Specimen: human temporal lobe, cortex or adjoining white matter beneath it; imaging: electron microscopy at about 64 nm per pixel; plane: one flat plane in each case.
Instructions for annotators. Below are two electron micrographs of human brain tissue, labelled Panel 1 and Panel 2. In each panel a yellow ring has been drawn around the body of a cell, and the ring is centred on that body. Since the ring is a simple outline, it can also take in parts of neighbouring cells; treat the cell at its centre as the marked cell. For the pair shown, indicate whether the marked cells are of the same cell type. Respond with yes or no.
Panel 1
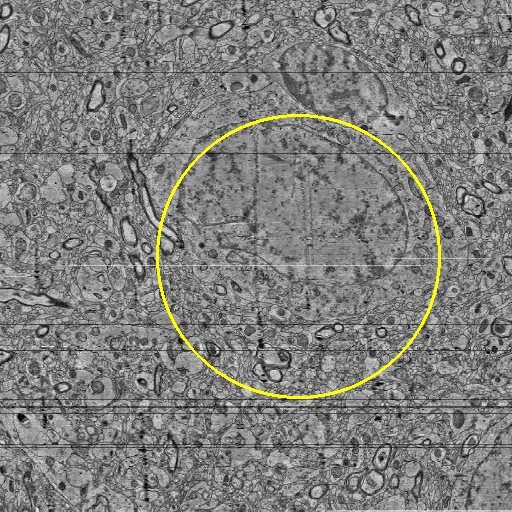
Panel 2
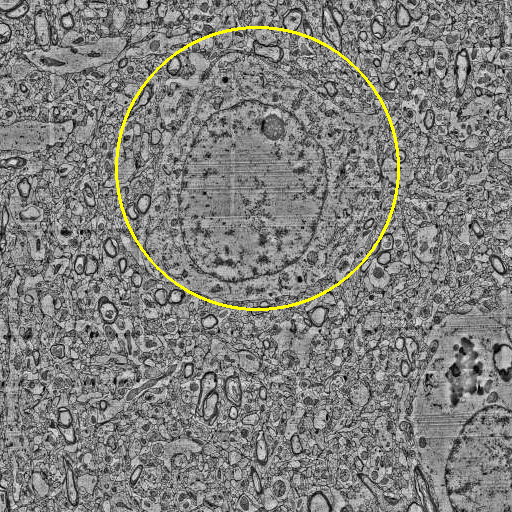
yes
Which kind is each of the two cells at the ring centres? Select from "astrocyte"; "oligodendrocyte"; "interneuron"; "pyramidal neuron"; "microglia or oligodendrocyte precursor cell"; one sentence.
In each of the two pictures, the ringed cell is an interneuron.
